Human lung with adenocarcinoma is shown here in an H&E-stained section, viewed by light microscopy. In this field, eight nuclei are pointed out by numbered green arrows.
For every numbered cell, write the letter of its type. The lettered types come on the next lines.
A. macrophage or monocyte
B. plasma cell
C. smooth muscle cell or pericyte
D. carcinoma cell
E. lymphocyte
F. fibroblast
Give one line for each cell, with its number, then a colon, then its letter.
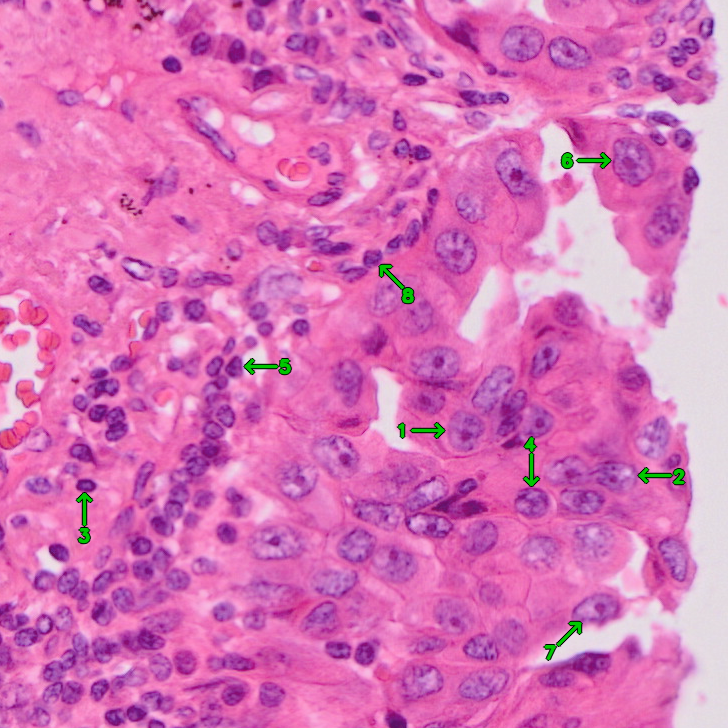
1: D
2: D
3: E
4: D
5: E
6: D
7: D
8: E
